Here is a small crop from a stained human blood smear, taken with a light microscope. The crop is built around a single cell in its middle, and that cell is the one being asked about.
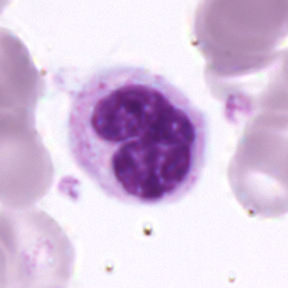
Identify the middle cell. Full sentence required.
Among the cells in view, the one in the middle is a band neutrophil.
